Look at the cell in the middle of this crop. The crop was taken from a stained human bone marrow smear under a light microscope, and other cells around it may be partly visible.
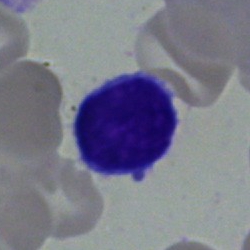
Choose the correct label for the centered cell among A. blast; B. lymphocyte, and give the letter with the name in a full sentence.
Located in the middle of the crop is a lymphocyte, and option B is therefore correct.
